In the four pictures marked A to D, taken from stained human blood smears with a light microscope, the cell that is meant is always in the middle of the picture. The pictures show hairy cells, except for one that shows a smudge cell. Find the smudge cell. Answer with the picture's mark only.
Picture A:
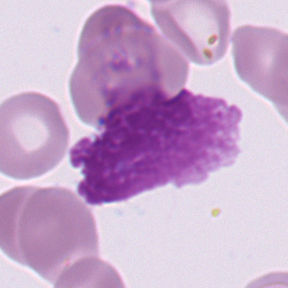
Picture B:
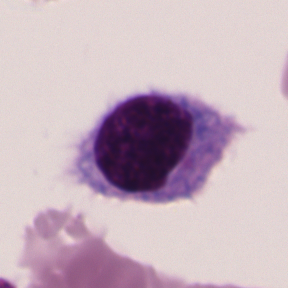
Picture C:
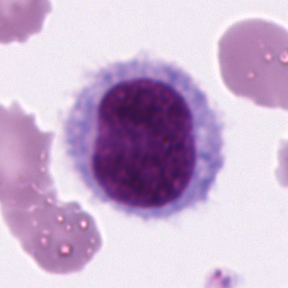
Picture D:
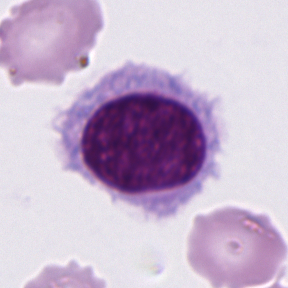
A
